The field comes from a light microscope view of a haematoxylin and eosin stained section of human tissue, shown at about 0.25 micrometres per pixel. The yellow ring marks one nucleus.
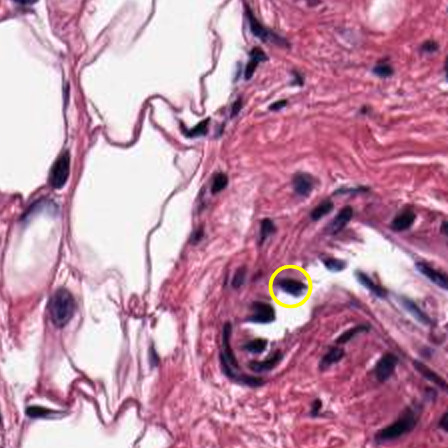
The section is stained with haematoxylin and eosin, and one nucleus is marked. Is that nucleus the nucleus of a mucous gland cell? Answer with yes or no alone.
no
